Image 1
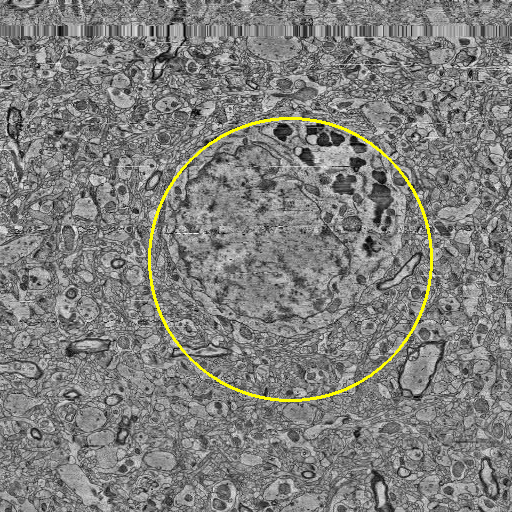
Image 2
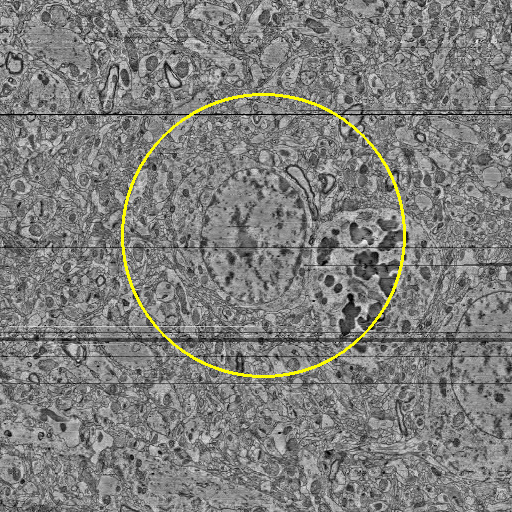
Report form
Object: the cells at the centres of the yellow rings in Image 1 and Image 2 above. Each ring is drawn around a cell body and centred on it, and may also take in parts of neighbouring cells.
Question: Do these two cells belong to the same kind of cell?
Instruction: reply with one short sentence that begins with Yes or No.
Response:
Yes, both belong to the same kind of cell.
